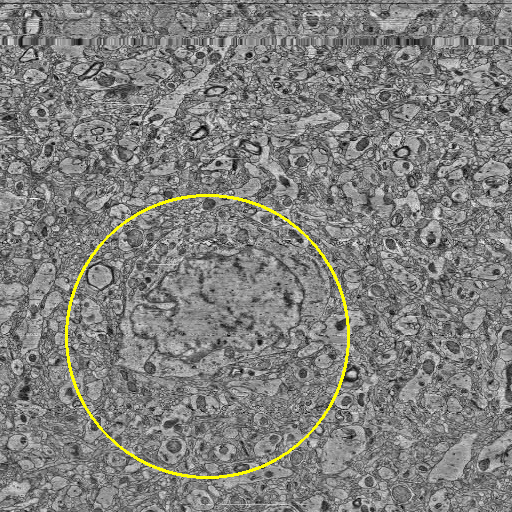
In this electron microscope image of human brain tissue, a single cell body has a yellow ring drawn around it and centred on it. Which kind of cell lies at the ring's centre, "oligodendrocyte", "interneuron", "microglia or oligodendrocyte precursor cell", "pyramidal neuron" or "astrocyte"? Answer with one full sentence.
It is an interneuron whose cell body lies at the centre of the yellow ring here.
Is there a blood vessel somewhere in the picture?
No, none appears.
